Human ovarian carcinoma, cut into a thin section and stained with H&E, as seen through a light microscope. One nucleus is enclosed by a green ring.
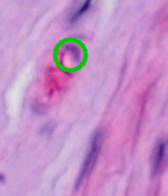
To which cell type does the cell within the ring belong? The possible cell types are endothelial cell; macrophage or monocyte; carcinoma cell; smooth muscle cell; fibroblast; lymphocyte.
endothelial cell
